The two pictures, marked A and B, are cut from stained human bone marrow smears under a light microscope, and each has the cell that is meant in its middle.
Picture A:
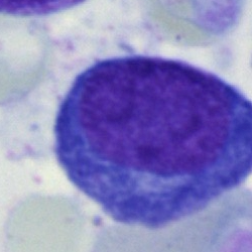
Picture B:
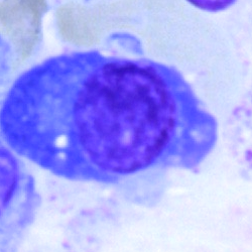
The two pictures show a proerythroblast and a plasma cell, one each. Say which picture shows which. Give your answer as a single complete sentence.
It is picture A that shows a proerythroblast, and picture B that shows a plasma cell.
